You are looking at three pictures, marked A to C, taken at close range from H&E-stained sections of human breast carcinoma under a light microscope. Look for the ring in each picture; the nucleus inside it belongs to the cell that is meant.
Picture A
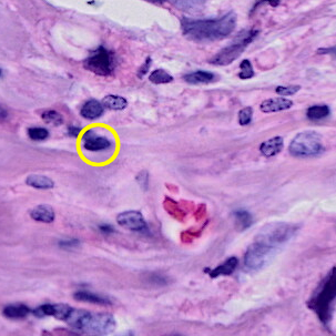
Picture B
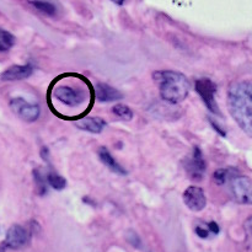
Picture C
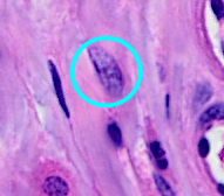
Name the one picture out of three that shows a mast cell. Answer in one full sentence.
The picture with the mast cell is B.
